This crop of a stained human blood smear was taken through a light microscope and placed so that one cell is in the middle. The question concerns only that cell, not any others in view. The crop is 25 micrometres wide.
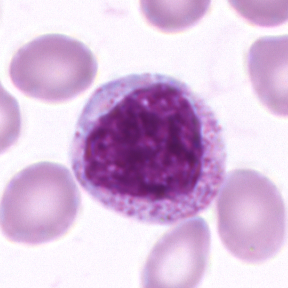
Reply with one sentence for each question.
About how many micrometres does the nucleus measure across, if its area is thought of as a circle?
The diameter of the nucleus comes to about 10 micrometres.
